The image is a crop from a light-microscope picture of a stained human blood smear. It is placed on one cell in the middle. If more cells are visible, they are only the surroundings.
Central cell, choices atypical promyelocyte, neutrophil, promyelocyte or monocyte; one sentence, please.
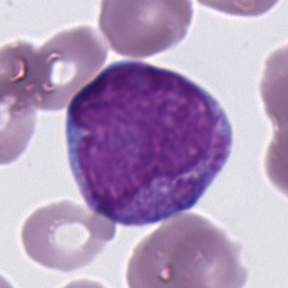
The central element of this crop is a cell, namely an atypical promyelocyte.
